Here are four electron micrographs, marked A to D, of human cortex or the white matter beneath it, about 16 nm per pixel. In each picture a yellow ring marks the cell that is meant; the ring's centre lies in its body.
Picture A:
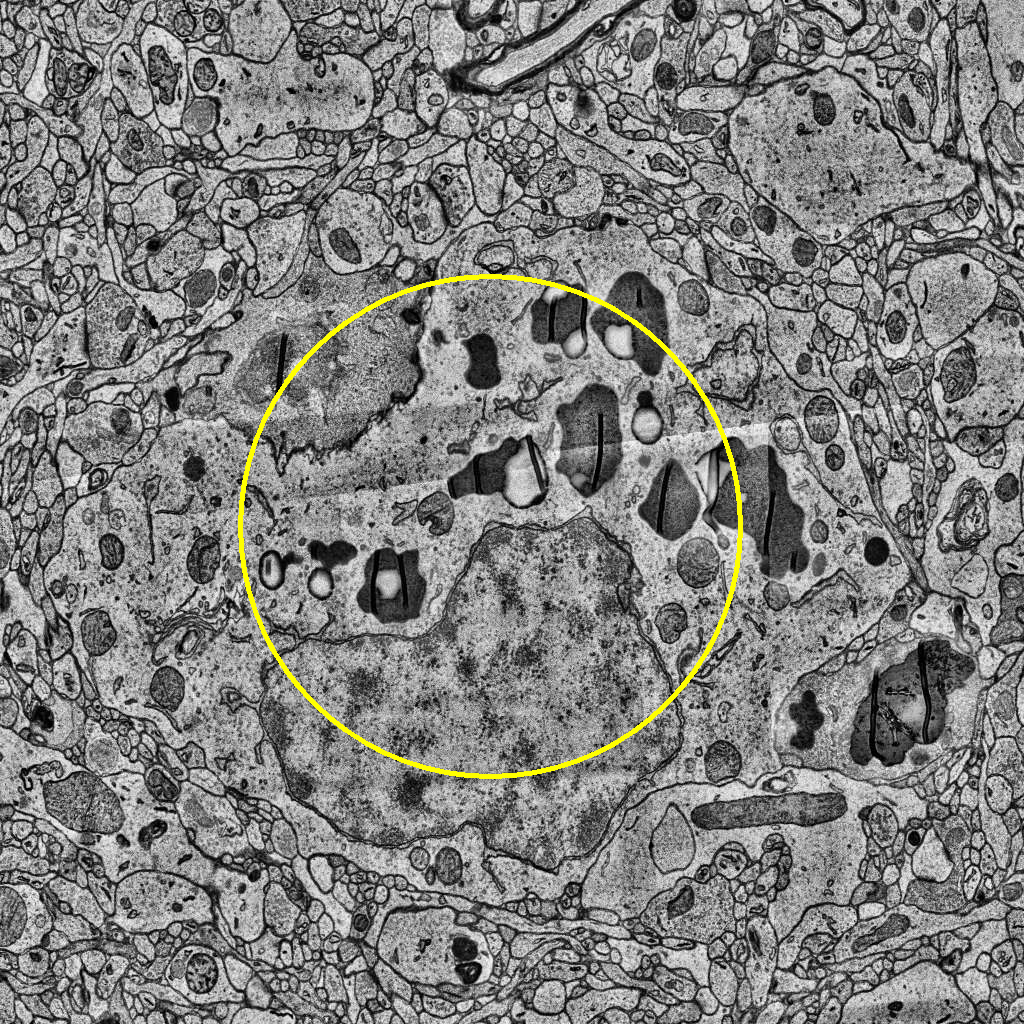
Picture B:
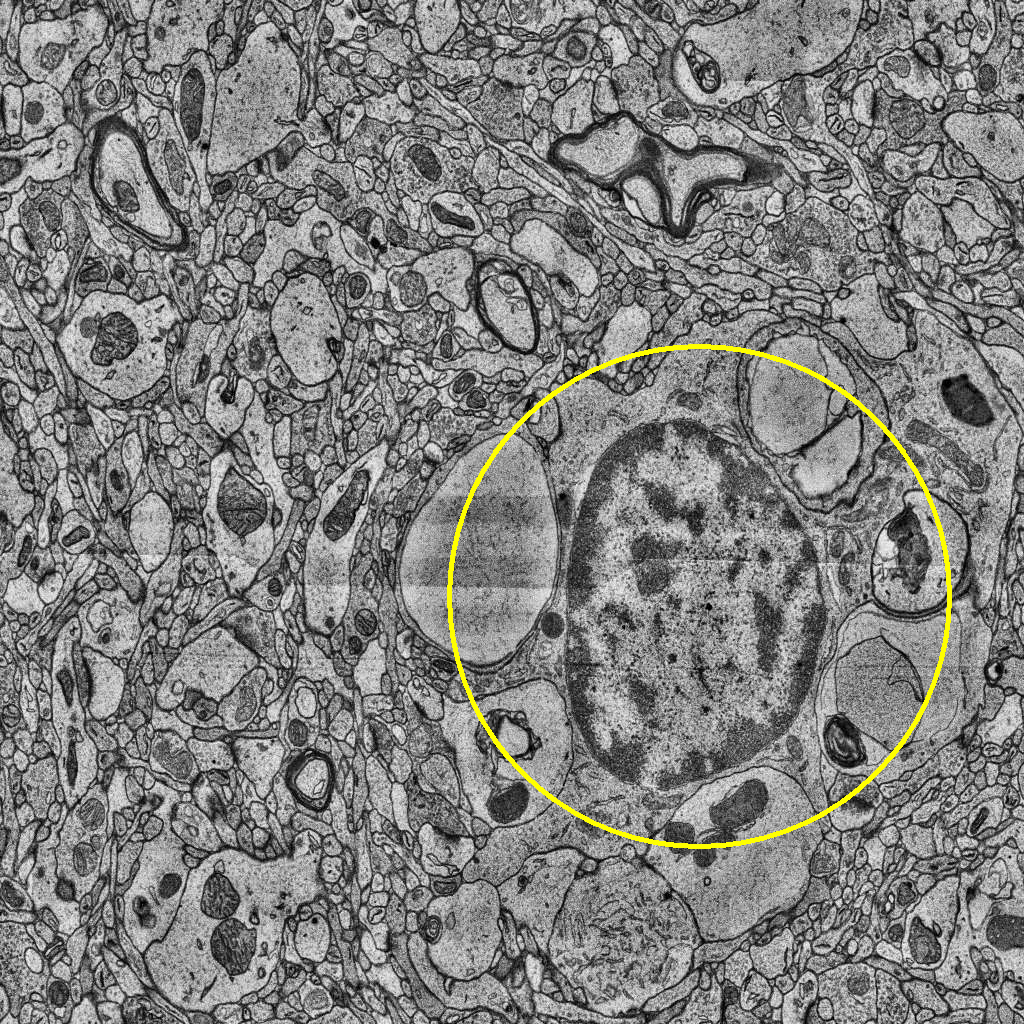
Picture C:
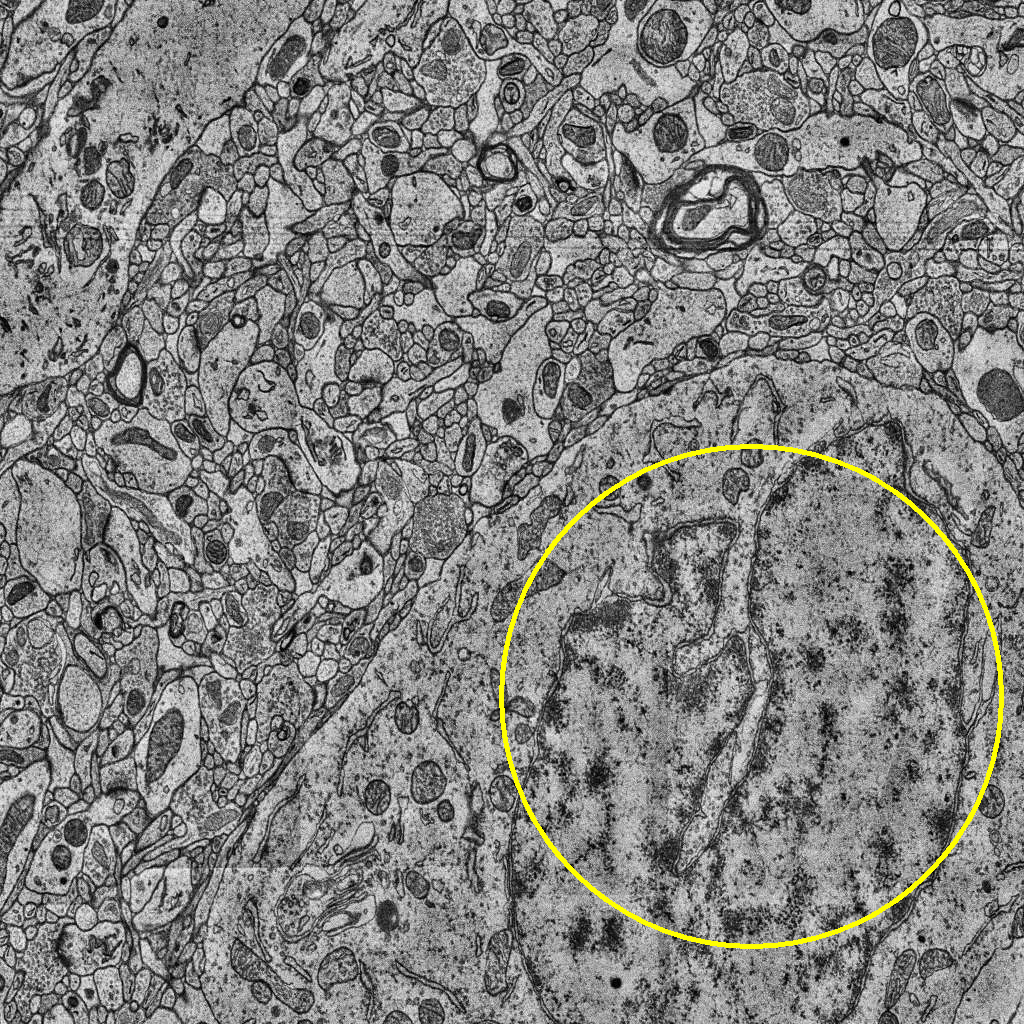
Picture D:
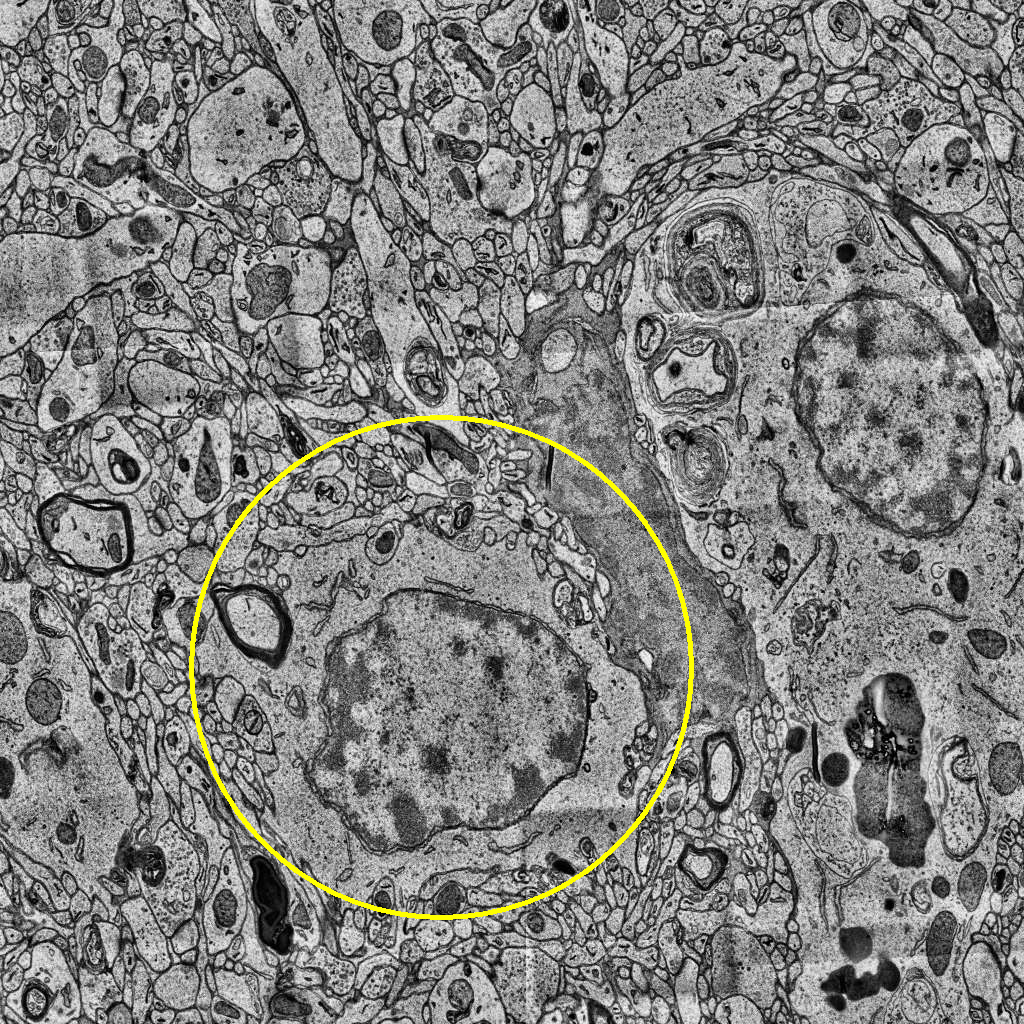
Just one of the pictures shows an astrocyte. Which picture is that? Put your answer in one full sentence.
It is picture D that shows the astrocyte.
